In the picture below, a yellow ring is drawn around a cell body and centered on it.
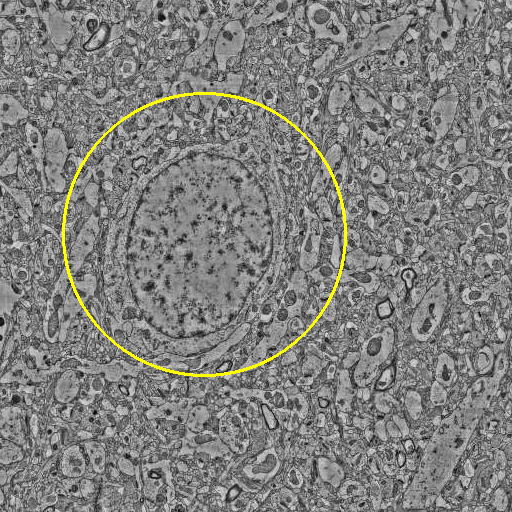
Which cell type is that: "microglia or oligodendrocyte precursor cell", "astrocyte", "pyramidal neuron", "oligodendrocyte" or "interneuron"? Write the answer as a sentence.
The cell centered in the ring is an interneuron.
